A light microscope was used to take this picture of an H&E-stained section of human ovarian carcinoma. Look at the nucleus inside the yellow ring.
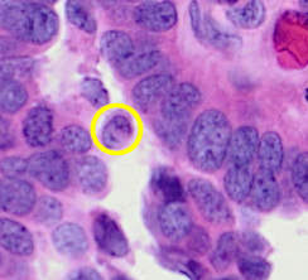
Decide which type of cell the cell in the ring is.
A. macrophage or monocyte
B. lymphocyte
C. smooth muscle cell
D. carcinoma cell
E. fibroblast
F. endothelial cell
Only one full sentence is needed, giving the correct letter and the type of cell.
It is option A that is correct, the cell in the ring being a macrophage or monocyte.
